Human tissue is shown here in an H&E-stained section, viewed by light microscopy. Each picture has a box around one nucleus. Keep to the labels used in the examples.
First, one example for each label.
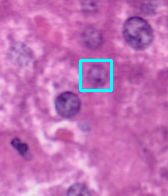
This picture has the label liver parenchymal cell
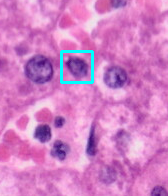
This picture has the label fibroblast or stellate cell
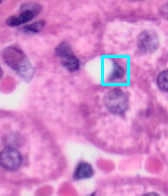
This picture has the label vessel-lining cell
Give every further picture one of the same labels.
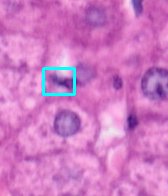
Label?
vessel-lining cell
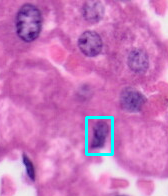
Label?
fibroblast or stellate cell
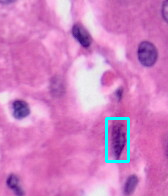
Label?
fibroblast or stellate cell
